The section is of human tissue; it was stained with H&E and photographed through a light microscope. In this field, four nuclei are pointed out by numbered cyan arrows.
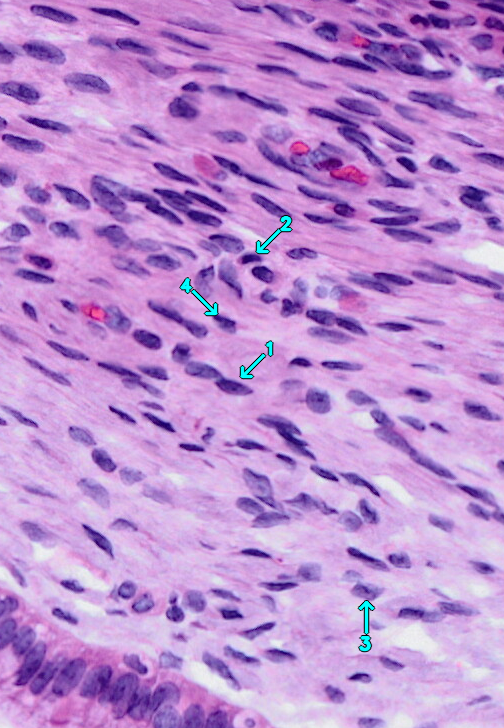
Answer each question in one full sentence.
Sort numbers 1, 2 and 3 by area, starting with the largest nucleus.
By area, largest first, they run 1, 3, 2.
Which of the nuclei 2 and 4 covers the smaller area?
The smaller nucleus is 2, and 4 covers roughly 1.5 times its area.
